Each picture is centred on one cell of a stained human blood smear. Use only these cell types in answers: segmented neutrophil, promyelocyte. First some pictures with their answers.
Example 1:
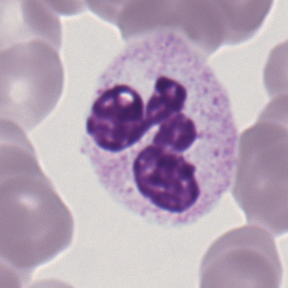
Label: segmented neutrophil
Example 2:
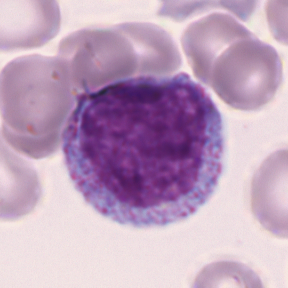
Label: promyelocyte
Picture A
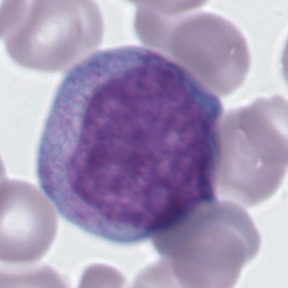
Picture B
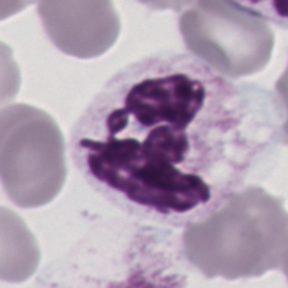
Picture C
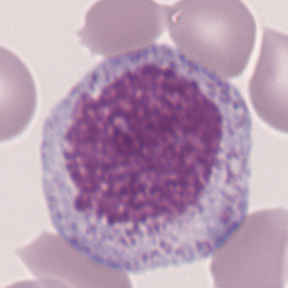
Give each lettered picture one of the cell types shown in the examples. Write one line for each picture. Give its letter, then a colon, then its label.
A: promyelocyte
B: segmented neutrophil
C: promyelocyte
